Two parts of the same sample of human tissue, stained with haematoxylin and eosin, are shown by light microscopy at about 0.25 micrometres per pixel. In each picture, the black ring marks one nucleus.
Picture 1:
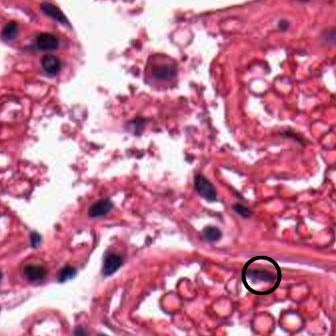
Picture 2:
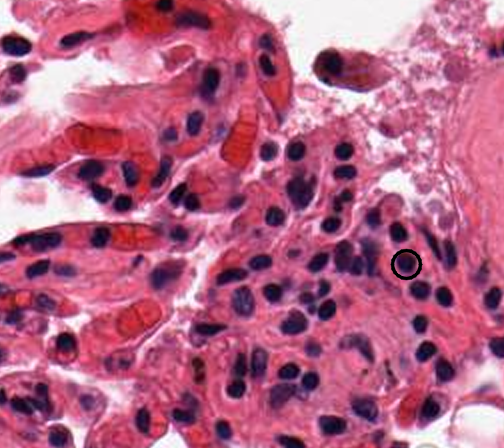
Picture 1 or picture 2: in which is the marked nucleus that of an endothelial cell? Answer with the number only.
1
